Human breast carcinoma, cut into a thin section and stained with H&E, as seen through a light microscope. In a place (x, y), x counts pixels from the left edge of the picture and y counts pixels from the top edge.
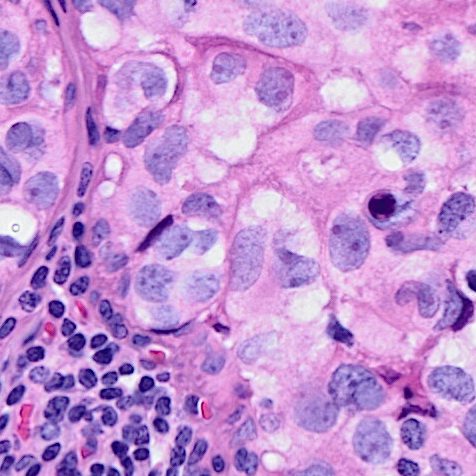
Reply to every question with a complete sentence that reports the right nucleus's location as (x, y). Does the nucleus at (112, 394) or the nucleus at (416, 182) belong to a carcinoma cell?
The nucleus of a carcinoma cell is the one at (416, 182).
